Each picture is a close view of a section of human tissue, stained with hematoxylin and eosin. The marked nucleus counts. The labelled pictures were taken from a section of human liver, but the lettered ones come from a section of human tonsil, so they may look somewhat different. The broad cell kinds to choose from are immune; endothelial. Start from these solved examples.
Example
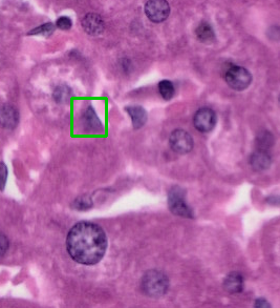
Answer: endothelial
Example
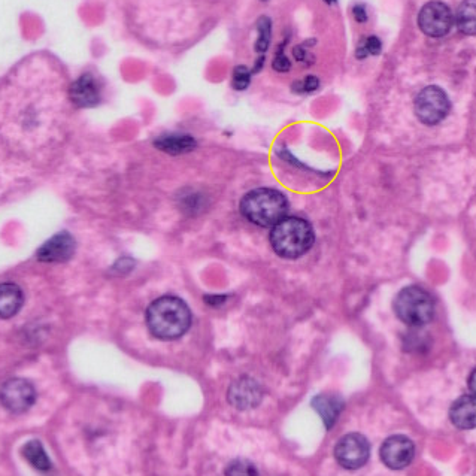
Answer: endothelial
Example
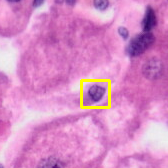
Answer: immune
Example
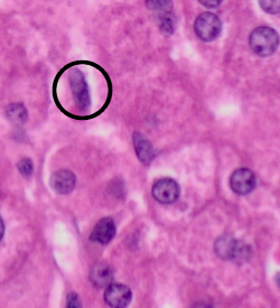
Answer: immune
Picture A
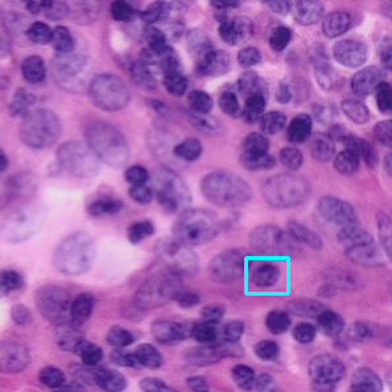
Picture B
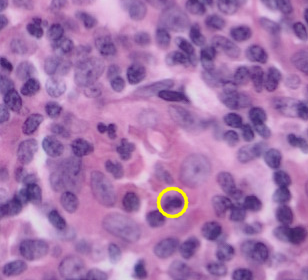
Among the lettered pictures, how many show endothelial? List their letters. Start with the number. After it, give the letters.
2: A, B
